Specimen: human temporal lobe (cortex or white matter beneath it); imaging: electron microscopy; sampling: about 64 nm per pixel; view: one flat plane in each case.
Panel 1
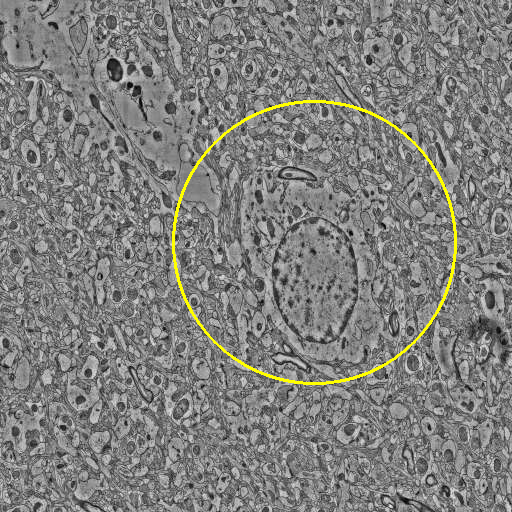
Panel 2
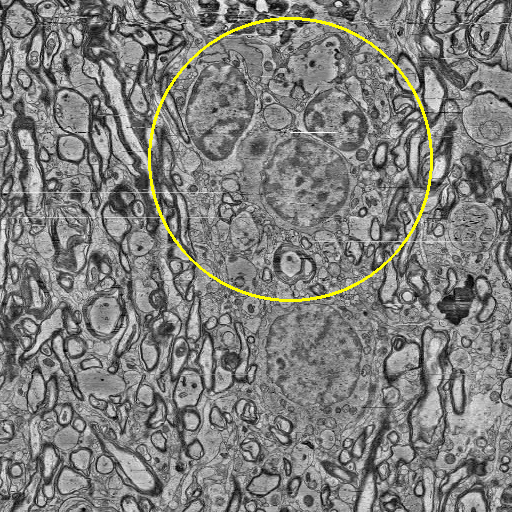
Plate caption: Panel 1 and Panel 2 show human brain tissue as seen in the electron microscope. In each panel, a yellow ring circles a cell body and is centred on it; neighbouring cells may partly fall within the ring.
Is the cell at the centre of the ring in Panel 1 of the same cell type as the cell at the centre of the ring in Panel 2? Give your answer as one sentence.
No, the two cells are of two types.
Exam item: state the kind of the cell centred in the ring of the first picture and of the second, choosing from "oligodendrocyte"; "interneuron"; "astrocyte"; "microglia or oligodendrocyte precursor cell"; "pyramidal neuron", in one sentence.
The first picture shows an astrocyte at the ring centre and the second shows an oligodendrocyte.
